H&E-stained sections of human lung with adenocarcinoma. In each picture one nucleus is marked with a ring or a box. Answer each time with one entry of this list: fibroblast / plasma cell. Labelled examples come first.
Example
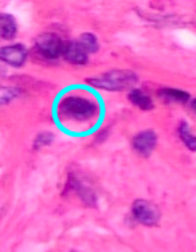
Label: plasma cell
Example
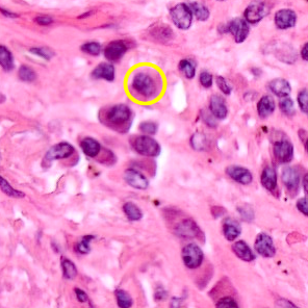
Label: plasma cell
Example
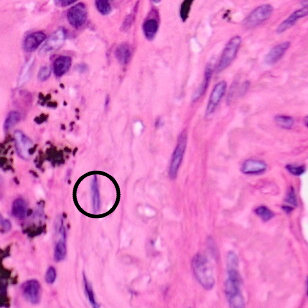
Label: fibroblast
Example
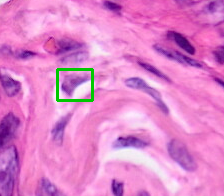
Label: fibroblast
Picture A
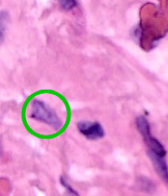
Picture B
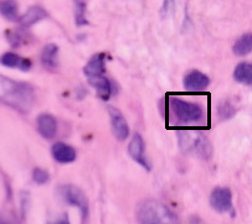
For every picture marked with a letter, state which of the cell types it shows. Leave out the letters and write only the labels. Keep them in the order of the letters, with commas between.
fibroblast, plasma cell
